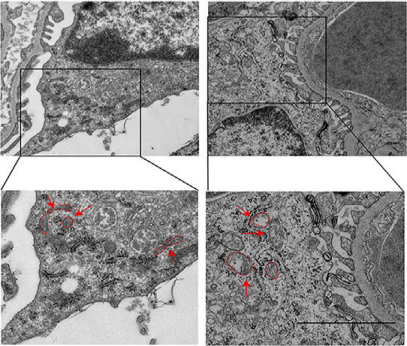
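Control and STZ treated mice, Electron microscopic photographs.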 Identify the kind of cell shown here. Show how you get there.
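Podocytes. Cell bodies border open capillary-like lumens. A row of regularly spaced small processes sits on a thin dense band.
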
